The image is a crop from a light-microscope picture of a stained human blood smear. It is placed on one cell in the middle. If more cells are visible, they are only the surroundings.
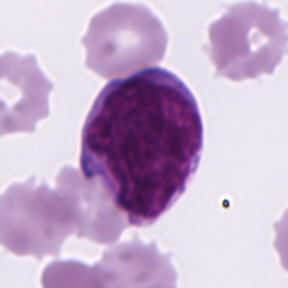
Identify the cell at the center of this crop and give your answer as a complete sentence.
The identification for the central cell is a myeloblast.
